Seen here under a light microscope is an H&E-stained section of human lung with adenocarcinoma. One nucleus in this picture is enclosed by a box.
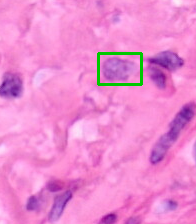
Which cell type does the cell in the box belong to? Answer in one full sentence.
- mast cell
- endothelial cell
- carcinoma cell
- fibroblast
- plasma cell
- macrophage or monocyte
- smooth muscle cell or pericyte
As to its cell type, the cell in the box is a fibroblast.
